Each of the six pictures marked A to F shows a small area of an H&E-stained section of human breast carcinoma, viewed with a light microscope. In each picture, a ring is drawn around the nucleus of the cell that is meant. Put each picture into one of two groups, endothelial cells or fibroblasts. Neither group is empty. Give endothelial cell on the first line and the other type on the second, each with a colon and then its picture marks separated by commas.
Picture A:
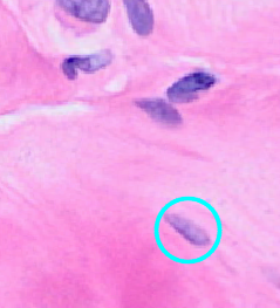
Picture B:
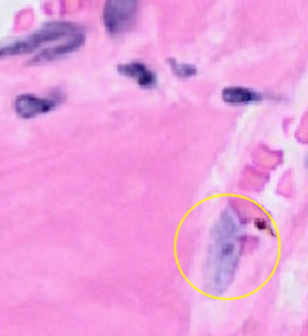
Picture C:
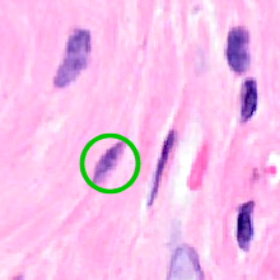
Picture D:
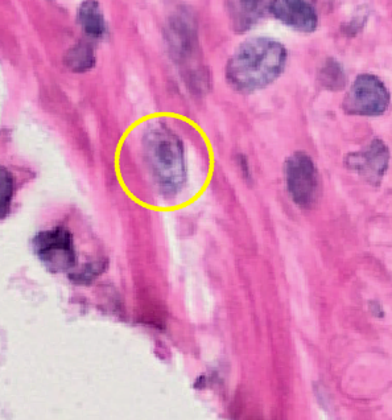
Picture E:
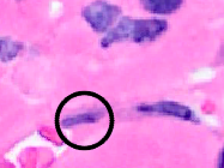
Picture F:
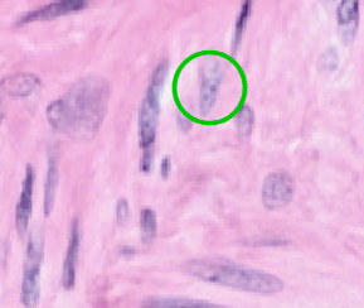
endothelial cell: B, E, F
fibroblast: A, C, D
